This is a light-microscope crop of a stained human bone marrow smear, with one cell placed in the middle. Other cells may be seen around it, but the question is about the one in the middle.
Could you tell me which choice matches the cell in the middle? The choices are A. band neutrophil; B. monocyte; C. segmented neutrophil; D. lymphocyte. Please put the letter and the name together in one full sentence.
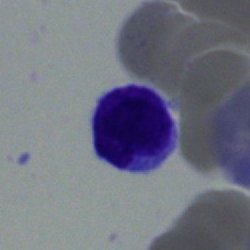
Option D is correct, naming the cell in the middle as a lymphocyte.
